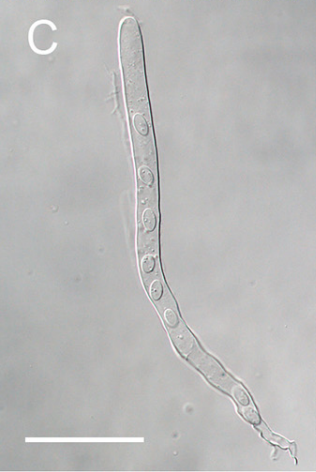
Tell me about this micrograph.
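A single immature ascus is seen as a long, narrow, cylindrical sac with a thin clear wall and a rounded tip. Inside, small oval bodies are spaced out in a row along much of its length, leaving clear space between them. The contents are otherwise nearly transparent. Toward the bottom the ascus narrows into a thin stalk that ends in short hypha-like branches.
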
